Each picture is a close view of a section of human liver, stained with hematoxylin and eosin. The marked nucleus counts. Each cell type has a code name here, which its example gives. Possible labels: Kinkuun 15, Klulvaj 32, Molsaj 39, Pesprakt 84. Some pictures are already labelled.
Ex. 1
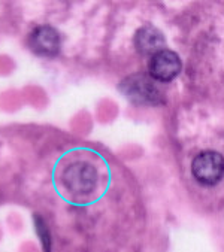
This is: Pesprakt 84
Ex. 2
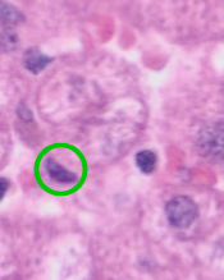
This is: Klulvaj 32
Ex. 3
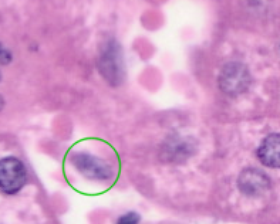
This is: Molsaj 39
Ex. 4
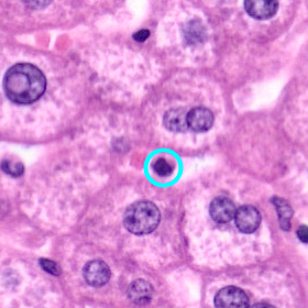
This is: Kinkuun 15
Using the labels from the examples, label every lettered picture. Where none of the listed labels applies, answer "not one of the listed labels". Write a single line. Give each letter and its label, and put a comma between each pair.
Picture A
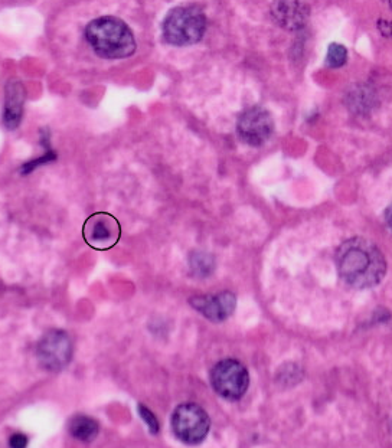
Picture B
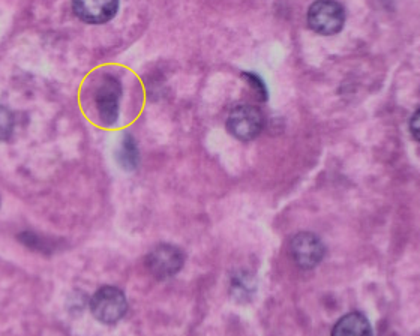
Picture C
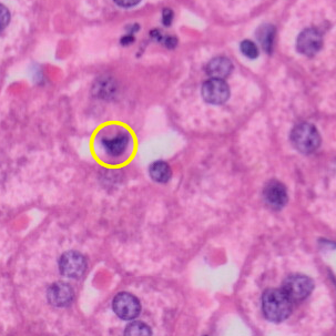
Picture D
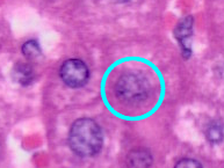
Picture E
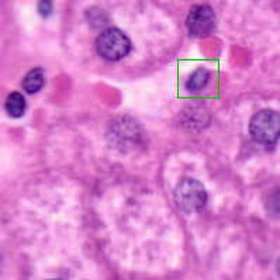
A Klulvaj 32, B Molsaj 39, C Klulvaj 32, D Pesprakt 84, E Kinkuun 15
